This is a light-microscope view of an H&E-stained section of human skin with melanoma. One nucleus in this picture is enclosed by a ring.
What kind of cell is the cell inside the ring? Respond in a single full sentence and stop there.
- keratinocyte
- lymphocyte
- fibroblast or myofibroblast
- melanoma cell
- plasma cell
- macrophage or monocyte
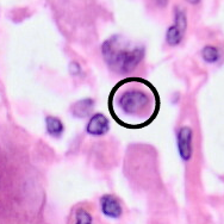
Speaking plainly, the cell inside the ring is nothing other than a macrophage or monocyte.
